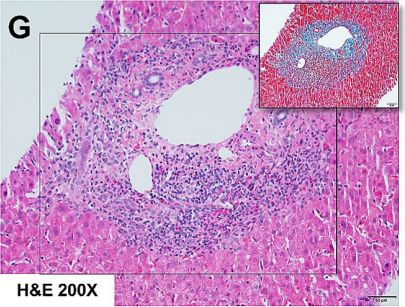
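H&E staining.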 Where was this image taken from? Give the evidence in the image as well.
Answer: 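Hepatic portal area. Central connective tissue with vessel lumens and small ducts. Surrounded by plates of pink polygonal hepatocytes.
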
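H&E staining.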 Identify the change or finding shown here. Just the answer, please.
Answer: lymphocytic inflammation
